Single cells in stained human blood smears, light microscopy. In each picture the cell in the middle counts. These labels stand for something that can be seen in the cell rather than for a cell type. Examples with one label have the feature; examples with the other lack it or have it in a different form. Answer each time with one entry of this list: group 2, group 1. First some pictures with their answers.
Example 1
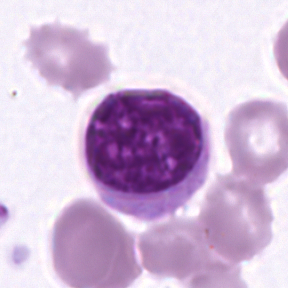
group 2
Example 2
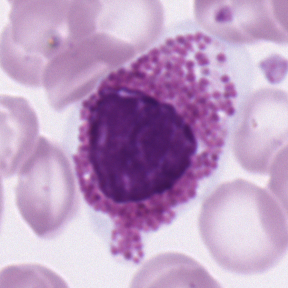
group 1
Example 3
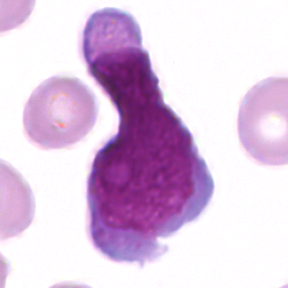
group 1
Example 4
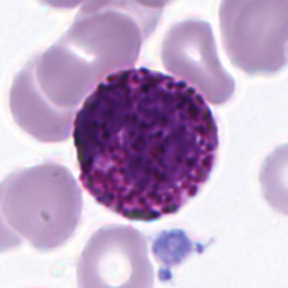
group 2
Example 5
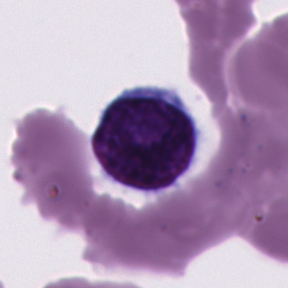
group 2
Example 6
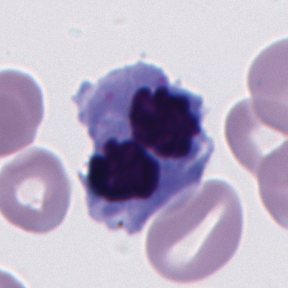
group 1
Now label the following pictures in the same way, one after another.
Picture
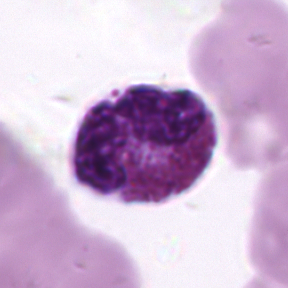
group 2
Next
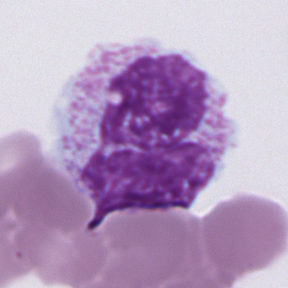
group 1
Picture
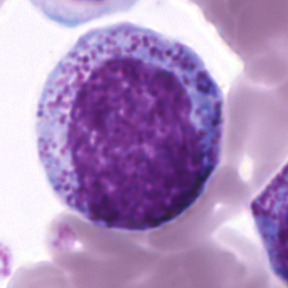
group 2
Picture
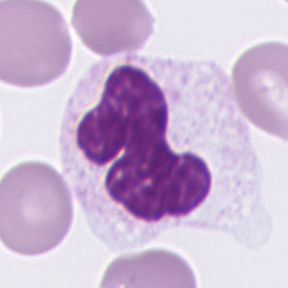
group 1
